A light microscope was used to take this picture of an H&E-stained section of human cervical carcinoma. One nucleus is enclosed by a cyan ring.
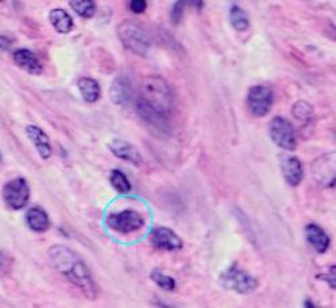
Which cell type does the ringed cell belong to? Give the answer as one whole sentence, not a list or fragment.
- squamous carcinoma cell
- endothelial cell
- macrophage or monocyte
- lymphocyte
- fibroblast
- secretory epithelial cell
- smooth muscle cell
With respect to cell type, the ringed cell is a lymphocyte.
